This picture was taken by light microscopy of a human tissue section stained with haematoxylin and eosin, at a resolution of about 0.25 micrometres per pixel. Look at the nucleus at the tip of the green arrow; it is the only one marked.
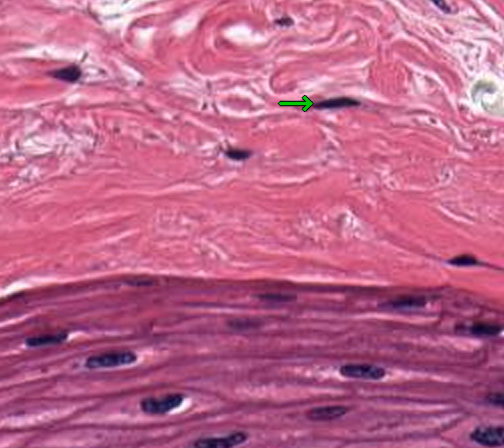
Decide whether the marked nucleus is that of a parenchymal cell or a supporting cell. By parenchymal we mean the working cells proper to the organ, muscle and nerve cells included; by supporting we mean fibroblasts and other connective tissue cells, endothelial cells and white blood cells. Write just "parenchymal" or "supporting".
supporting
